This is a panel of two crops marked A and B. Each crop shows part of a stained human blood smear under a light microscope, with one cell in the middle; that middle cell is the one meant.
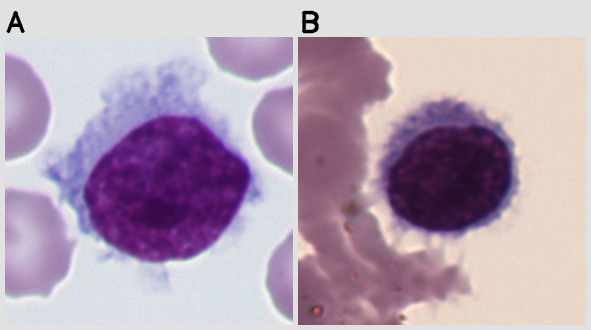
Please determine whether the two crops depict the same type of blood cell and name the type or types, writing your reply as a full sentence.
Yes, both crops show hairy cells in their central position.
